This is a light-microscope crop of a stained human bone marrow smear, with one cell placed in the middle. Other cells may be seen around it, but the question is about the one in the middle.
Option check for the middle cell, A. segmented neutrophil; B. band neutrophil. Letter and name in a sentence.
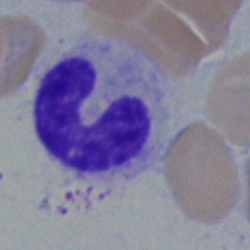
The cell in the middle is correctly identified as a band neutrophil in option B.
